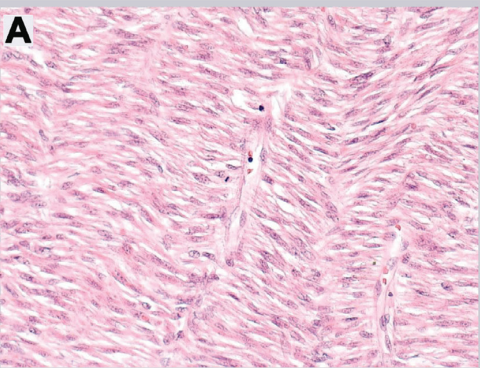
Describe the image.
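This is a smooth muscle tumour made of spindle-shaped cells lying in long parallel bundles that sweep across the field. The nuclei are uniform, elongated and blunt-ended like cigars, and the pink cytoplasm blends from one cell to the next so that cell borders are hard to see. A few thin-walled small vessels run between the bundles.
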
